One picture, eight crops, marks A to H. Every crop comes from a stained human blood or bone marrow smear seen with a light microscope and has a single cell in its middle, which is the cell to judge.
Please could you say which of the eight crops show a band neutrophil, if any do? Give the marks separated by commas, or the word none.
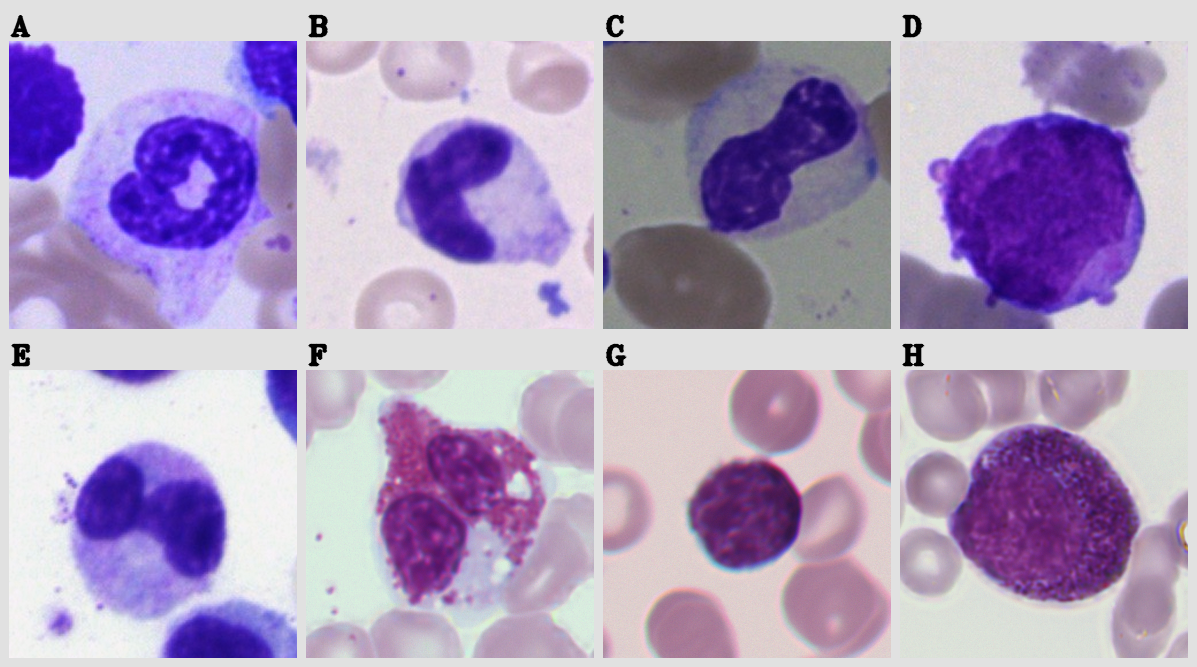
A, B, C, E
